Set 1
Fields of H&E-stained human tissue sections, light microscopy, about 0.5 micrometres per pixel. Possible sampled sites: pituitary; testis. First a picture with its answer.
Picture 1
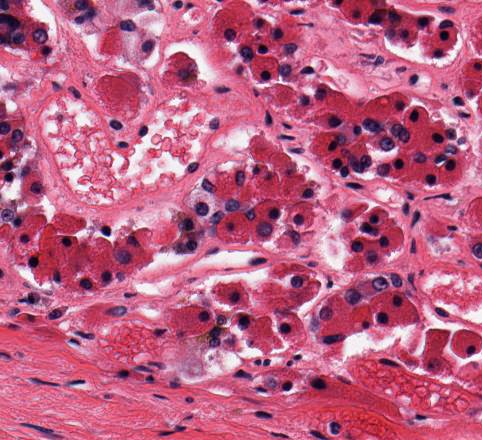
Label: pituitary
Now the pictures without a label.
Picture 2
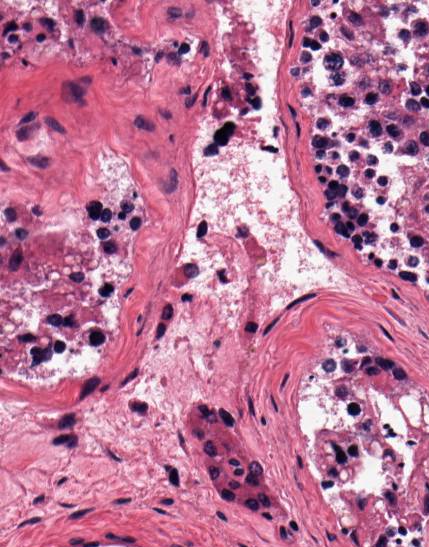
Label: testis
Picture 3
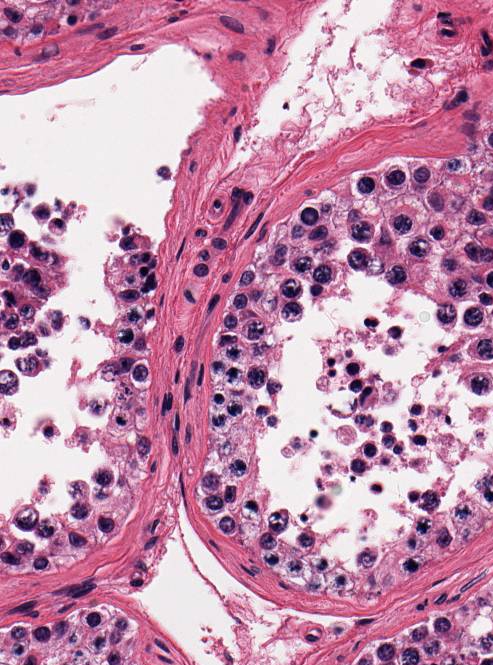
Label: testis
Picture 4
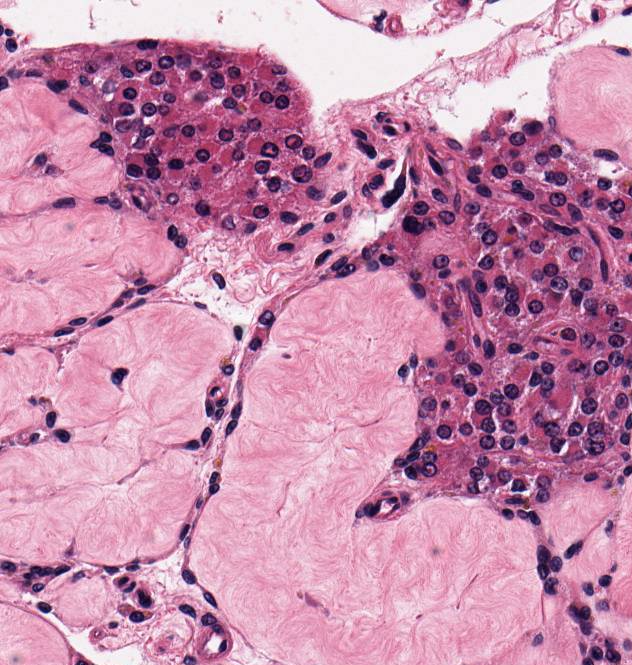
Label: testis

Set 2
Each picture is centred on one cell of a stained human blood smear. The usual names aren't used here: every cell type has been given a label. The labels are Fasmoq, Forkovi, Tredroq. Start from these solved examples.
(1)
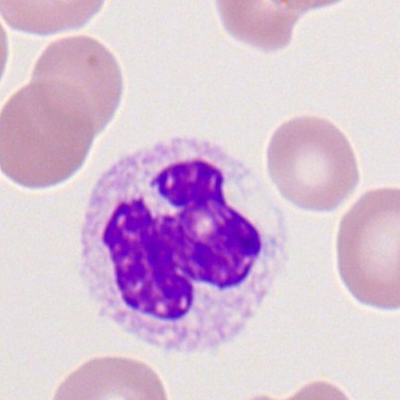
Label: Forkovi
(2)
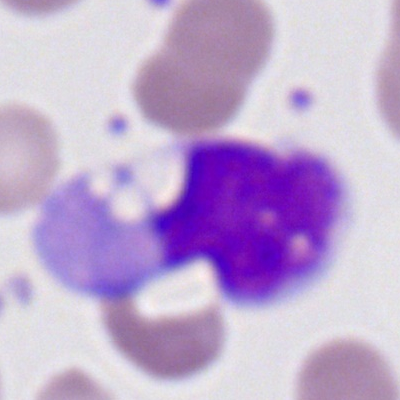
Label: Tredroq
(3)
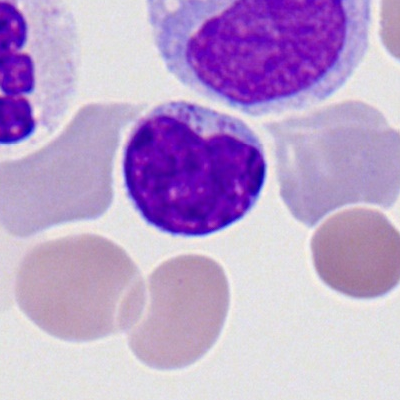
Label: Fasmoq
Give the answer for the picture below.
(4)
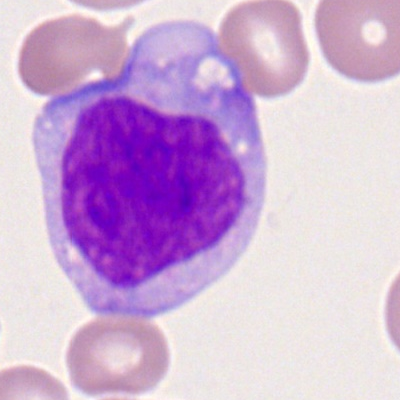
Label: Tredroq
